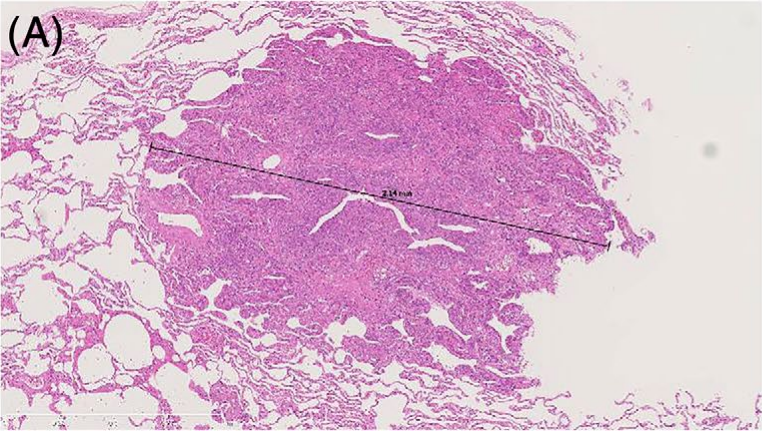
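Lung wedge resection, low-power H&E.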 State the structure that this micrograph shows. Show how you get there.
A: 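A dense, cellular, pink-purple mass sits in the lung tissue. One edge of the mass lies at the outer surface of the tissue. That points to this answer: well‐circumscribed subpleural nodule.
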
